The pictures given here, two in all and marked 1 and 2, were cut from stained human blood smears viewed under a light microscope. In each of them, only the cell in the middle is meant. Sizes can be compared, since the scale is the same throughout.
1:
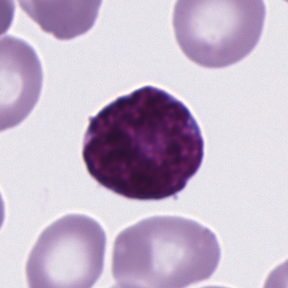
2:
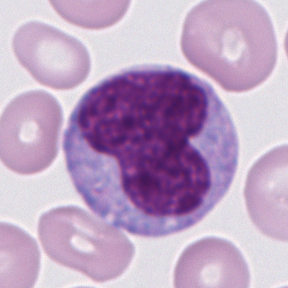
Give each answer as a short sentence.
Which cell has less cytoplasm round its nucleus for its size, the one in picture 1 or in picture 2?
In picture 1 the nucleus takes up the larger part of its cell.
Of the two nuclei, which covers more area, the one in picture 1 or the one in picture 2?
Larger is the nucleus in picture 2, at roughly 1.5 times the area of the other.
